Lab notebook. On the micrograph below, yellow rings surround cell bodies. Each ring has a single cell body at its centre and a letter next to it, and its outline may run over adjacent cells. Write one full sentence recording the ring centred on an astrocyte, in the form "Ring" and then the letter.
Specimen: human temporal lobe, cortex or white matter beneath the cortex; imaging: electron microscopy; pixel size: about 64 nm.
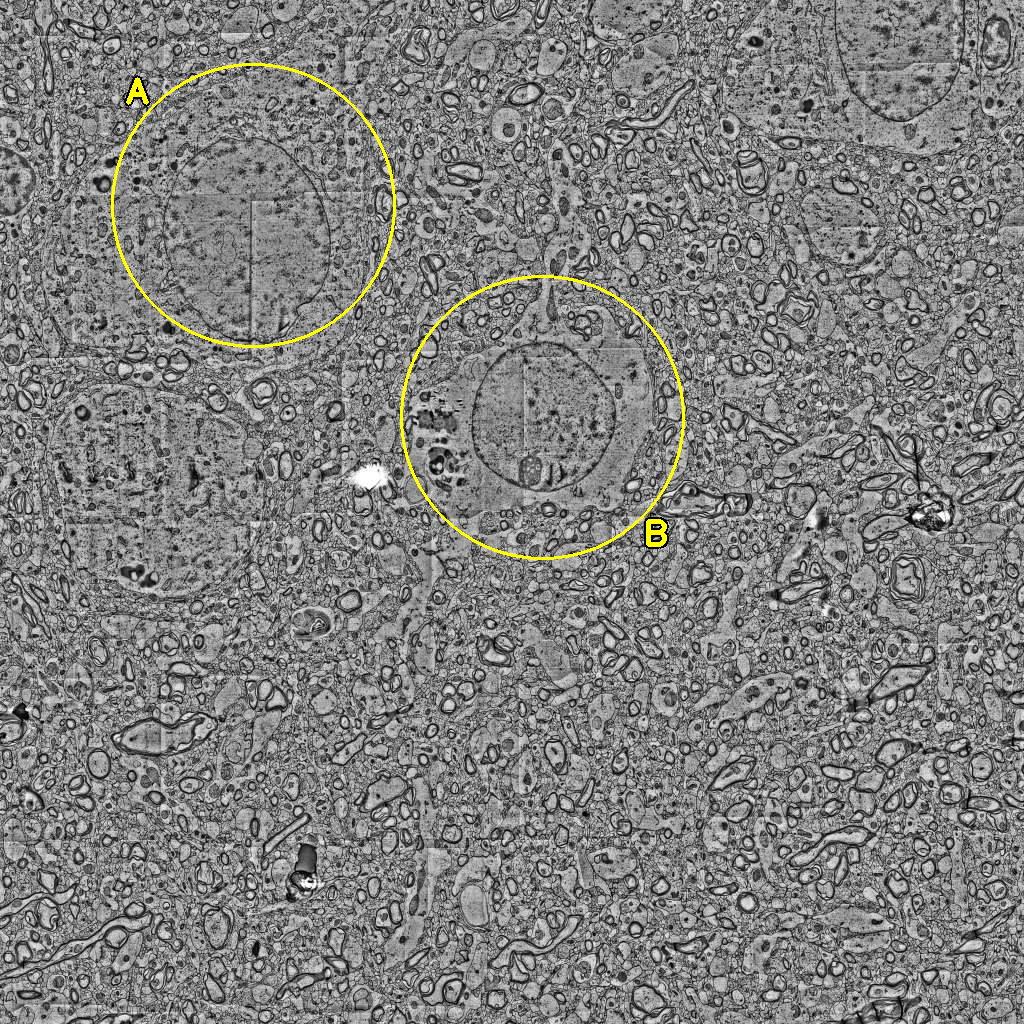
My answer is Ring B, the ring centred on a cell of that kind.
